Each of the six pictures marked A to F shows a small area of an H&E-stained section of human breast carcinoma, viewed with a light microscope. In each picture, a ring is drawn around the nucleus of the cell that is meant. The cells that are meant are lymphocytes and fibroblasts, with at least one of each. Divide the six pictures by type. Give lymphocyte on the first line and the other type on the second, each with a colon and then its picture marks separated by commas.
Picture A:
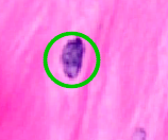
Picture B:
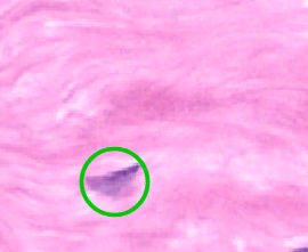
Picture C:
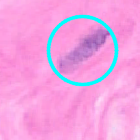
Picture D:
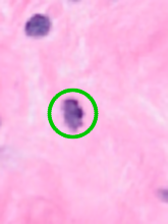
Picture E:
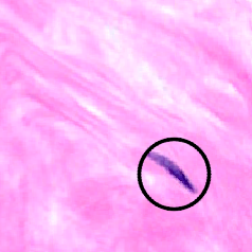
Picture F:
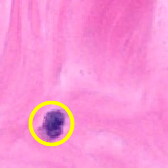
lymphocyte: A, D, F
fibroblast: B, C, E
